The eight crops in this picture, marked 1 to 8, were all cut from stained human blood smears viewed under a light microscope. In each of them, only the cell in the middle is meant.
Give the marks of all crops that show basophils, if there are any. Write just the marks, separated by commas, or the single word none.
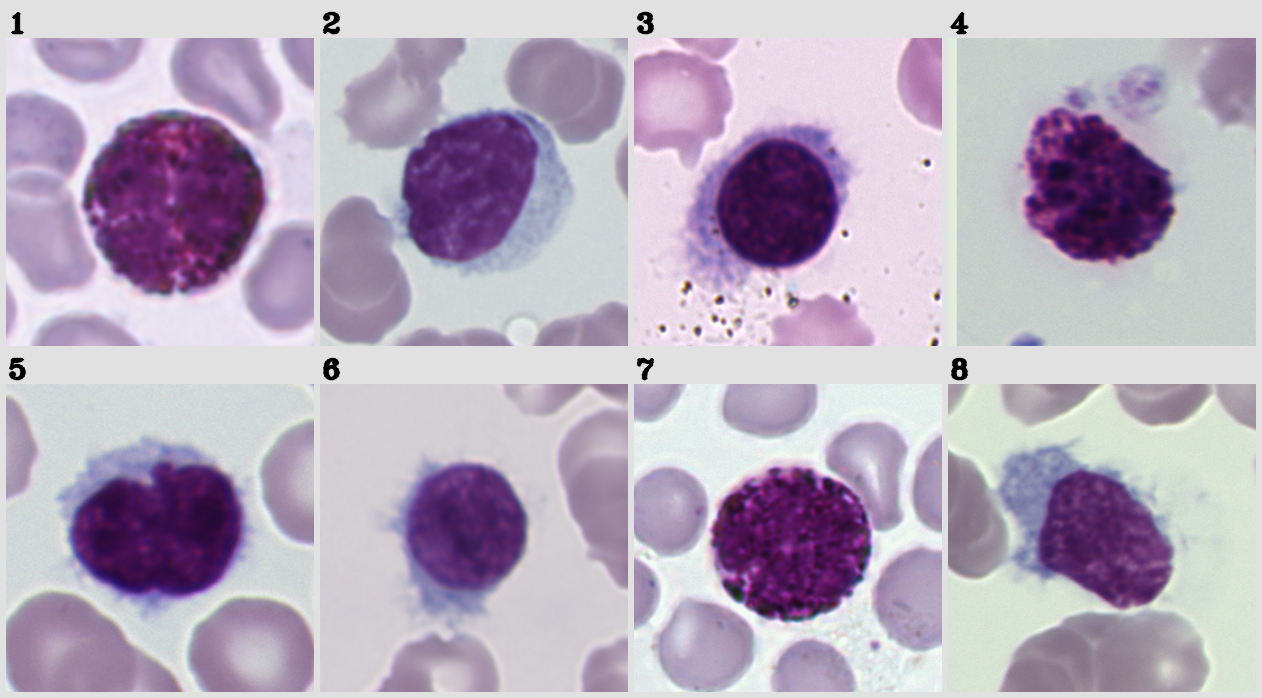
1, 4, 7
